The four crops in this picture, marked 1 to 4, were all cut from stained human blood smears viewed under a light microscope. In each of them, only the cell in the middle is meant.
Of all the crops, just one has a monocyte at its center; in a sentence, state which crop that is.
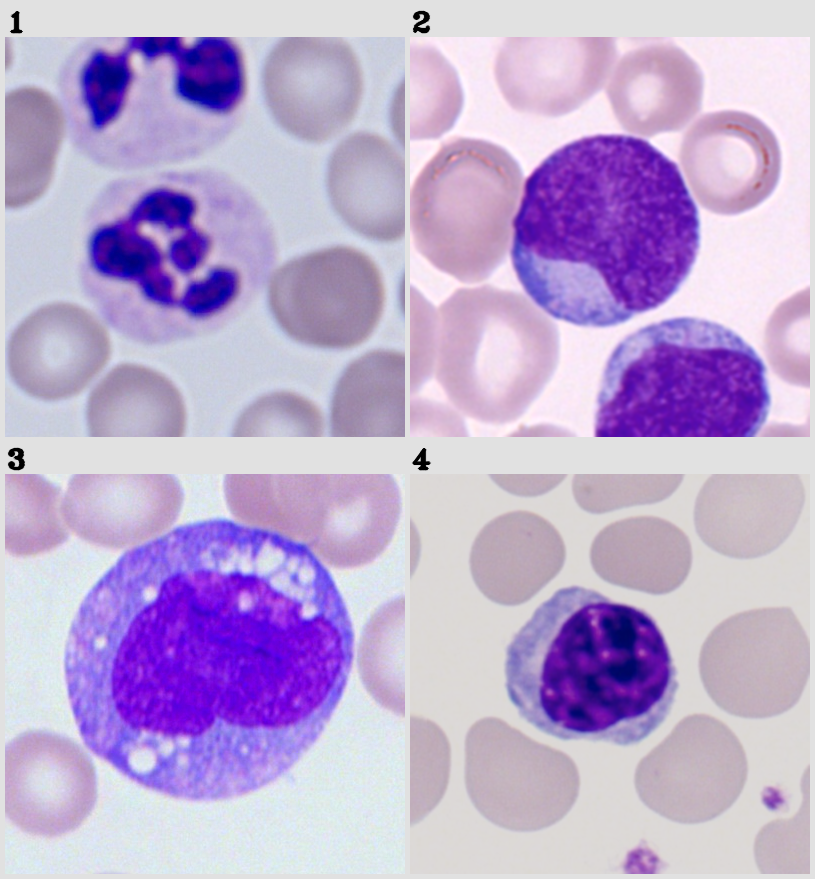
Among all the crops given here, the one with a monocyte is crop 3.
